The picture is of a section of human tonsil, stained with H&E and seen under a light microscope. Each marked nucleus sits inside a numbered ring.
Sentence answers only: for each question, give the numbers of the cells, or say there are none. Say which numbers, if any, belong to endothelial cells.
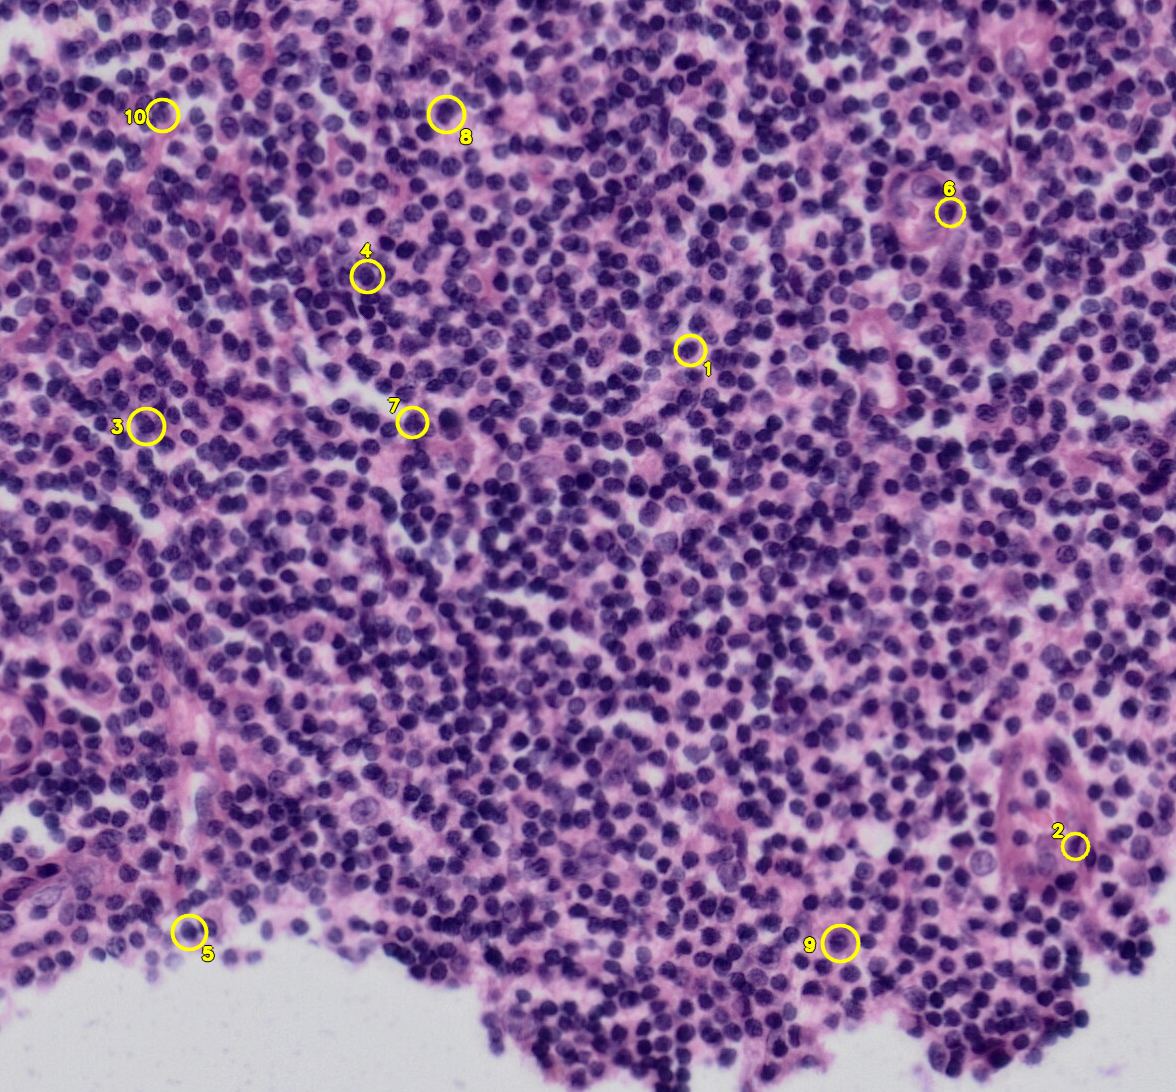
Cells that were given the numbers 2 and 6 are endothelial cells.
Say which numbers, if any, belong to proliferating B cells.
Only at number 8 is there a proliferating B cell among the marked cells.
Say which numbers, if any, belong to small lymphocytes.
The cells referred to by the numbers 1, 3, 4, 5, 7 and 10 are small lymphocytes.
